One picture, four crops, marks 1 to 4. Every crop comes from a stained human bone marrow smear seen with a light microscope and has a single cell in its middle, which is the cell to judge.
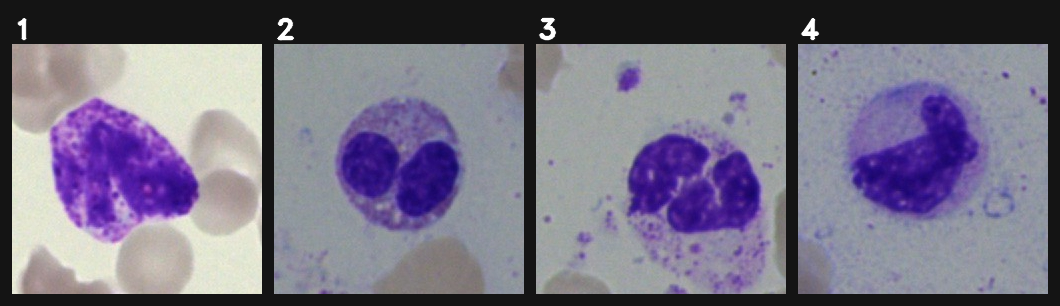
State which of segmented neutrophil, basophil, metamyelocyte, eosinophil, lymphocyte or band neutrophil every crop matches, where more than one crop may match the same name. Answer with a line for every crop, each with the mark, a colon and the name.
1: basophil
2: segmented neutrophil
3: basophil
4: band neutrophil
